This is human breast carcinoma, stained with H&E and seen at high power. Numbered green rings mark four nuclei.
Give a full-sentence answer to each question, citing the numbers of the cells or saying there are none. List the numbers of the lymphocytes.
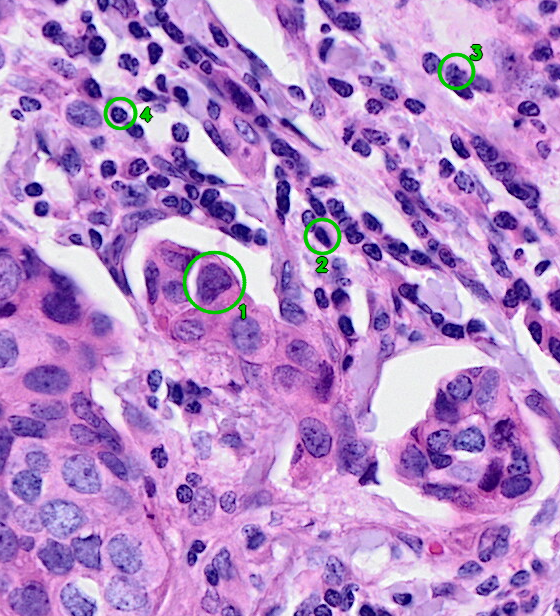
The identity of cells 2, 3 and 4: they are lymphocytes.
